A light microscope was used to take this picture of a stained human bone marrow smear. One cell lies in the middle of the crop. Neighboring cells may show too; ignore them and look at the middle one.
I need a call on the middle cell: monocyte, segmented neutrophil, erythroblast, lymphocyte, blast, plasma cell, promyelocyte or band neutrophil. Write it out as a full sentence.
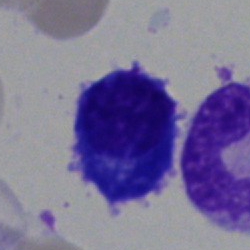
Positioned in the middle of the crop is a plasma cell.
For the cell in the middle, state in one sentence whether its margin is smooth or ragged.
The contour of the cell is interrupted by ragged areas or by projections.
